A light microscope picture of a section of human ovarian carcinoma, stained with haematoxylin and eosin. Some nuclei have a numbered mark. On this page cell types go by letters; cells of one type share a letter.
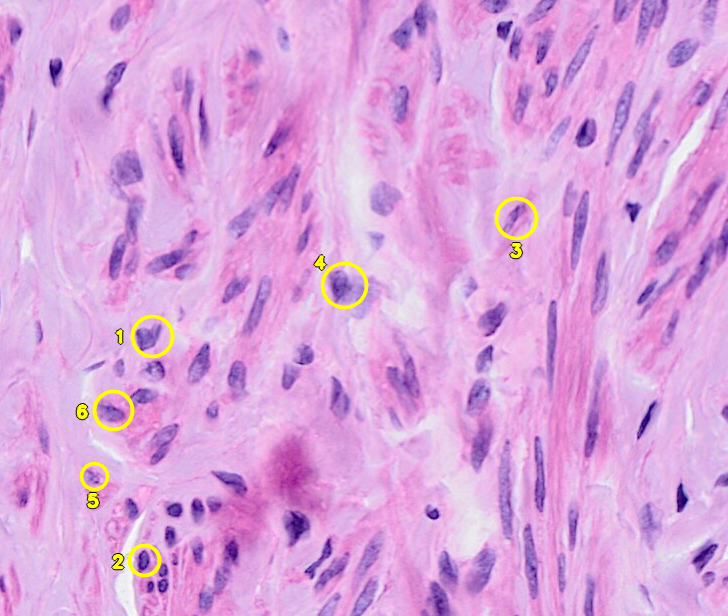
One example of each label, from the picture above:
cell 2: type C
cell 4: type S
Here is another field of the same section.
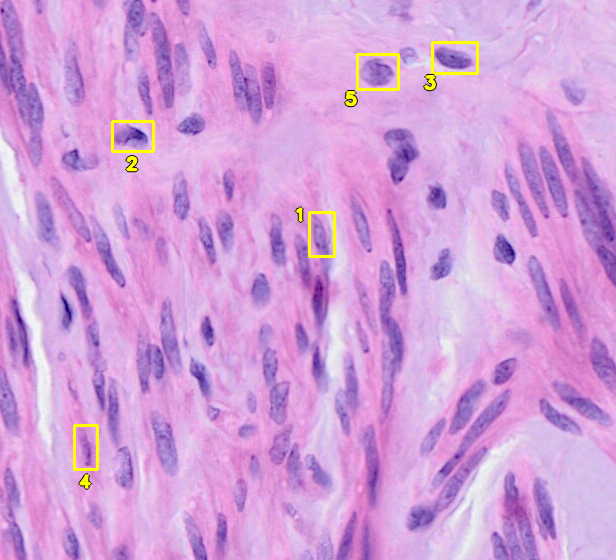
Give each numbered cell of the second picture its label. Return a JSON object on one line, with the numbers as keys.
{"1": "type C", "2": "type S", "3": "type S", "4": "type C", "5": "type S"}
